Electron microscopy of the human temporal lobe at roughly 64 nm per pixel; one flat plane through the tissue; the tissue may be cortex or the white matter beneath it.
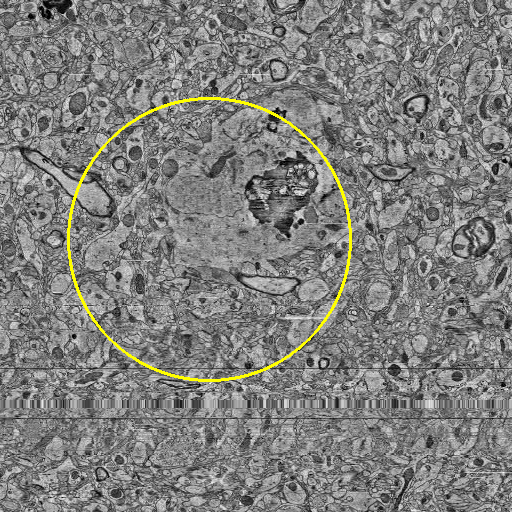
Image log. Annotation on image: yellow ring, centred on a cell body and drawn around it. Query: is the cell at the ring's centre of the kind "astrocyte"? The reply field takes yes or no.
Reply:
yes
